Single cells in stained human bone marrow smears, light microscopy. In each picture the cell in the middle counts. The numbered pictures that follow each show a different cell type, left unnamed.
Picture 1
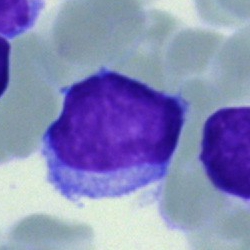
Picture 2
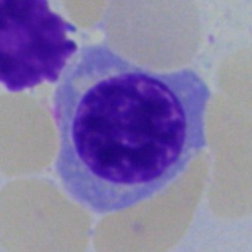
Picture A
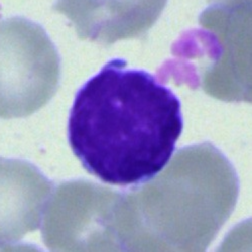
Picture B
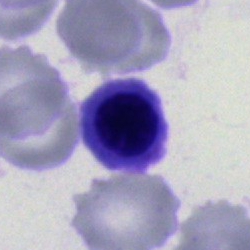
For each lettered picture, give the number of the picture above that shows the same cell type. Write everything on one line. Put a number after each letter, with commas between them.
A 1, B 2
